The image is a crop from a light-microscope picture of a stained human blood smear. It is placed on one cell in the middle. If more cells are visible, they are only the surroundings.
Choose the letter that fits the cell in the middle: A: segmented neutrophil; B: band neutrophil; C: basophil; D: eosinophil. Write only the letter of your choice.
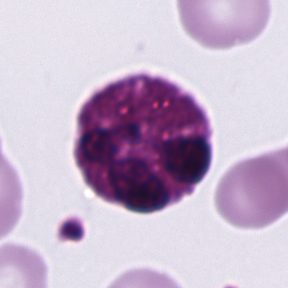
D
